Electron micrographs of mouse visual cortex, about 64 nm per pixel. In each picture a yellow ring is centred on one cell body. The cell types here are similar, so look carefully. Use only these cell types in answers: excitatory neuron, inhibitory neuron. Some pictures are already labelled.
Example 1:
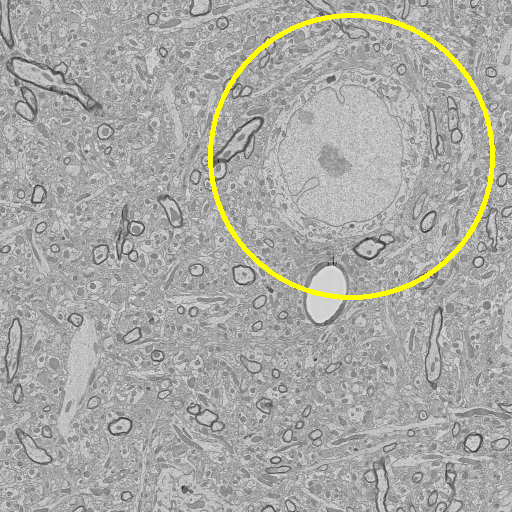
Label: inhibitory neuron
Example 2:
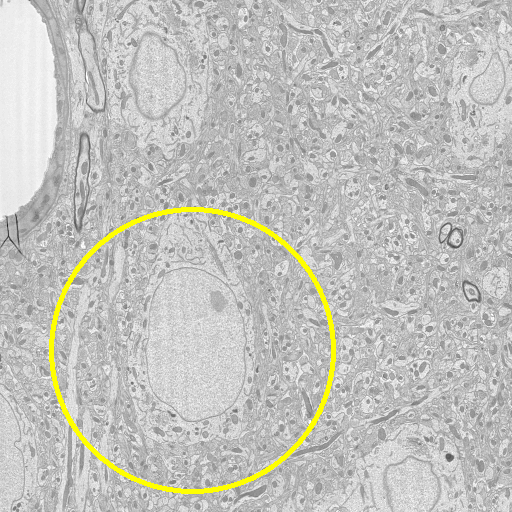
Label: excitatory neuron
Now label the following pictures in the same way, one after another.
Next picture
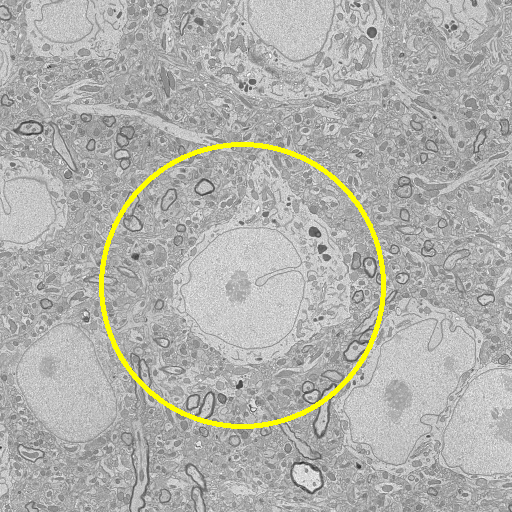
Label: excitatory neuron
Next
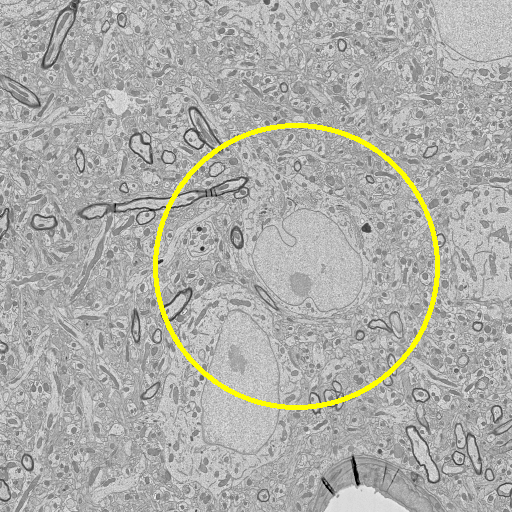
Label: excitatory neuron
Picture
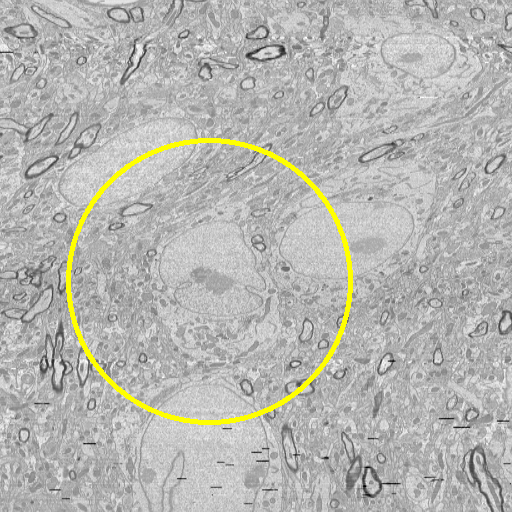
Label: inhibitory neuron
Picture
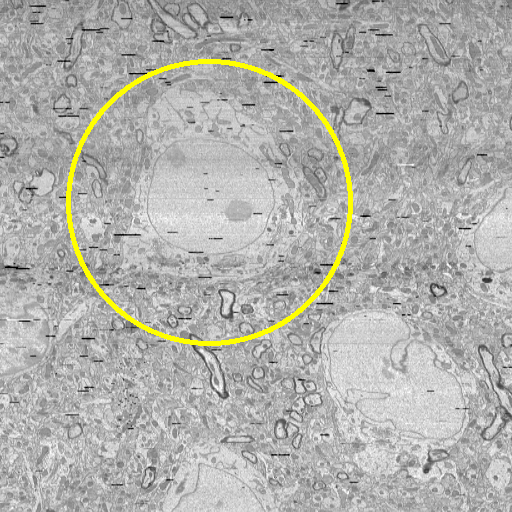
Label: excitatory neuron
